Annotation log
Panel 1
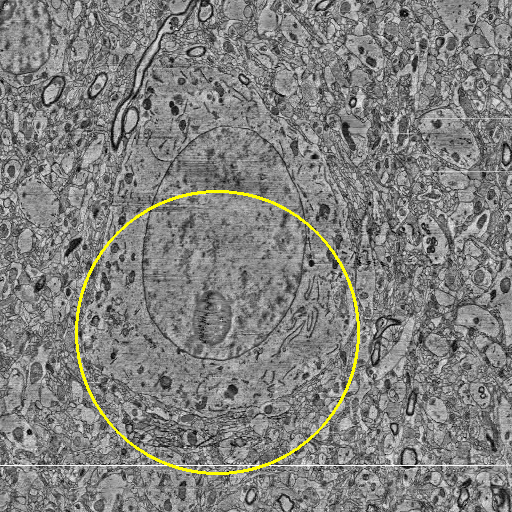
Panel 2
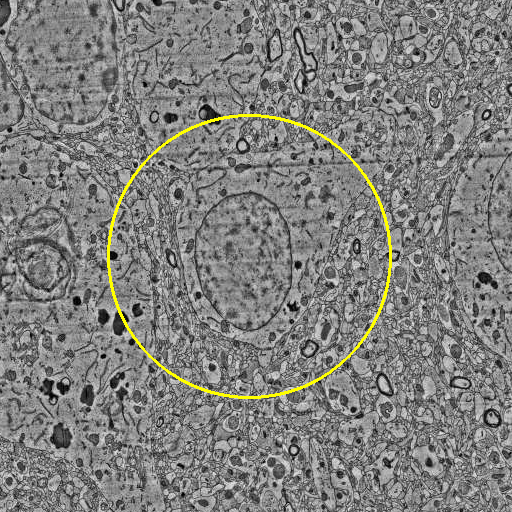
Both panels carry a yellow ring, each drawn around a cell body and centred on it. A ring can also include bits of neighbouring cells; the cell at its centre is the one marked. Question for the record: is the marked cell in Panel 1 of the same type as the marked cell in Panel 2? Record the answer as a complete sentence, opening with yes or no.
Yes, the marked cells in Panel 1 and Panel 2 are of the same type.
